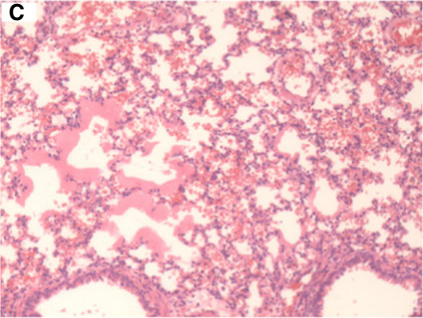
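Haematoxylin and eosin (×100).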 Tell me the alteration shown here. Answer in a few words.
Haemorrhage.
